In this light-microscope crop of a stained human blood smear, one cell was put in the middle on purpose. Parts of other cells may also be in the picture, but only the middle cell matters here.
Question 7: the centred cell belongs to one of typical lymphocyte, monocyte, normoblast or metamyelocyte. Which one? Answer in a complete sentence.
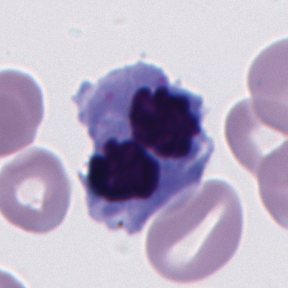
Of the cells in this crop, the central one is a normoblast.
